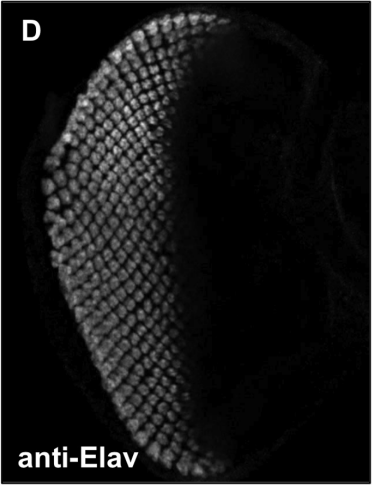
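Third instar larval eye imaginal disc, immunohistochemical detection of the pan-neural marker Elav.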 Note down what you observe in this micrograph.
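The clusters are aligned in curved rows and form an evenly spaced lattice, with the clusters nearest the outer edge appearing largest. The labelled field ends along a sharp, nearly straight front, and the tissue on the other side of it is dark and unlabelled.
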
